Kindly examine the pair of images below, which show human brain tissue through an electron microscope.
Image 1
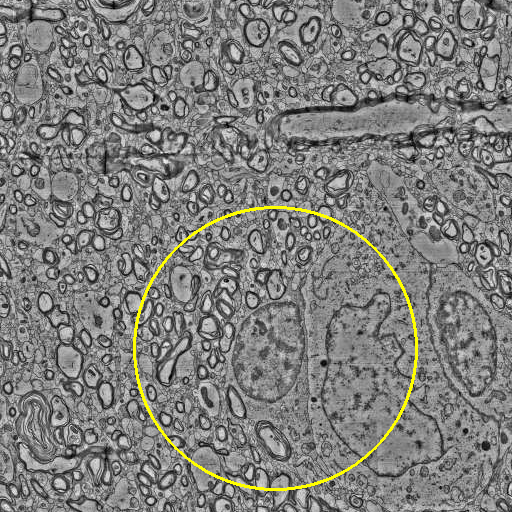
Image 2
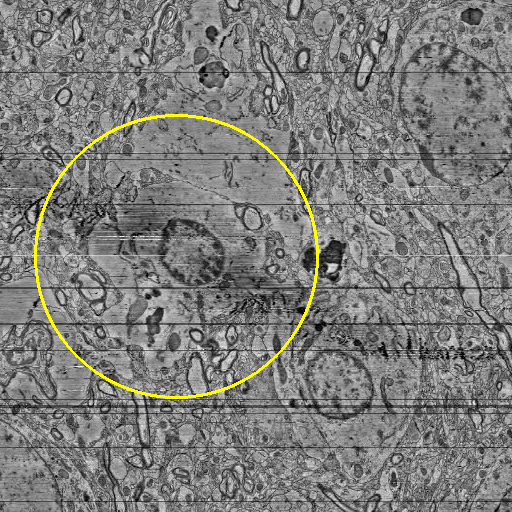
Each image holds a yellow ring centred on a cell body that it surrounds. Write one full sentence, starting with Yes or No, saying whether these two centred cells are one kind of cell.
No, the cells at the centres of the yellow rings belong to two kinds of cell.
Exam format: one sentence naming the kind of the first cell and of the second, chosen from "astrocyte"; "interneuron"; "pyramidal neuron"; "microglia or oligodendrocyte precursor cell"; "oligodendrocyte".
The first picture's cell is an oligodendrocyte, and the second picture's cell is an astrocyte.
